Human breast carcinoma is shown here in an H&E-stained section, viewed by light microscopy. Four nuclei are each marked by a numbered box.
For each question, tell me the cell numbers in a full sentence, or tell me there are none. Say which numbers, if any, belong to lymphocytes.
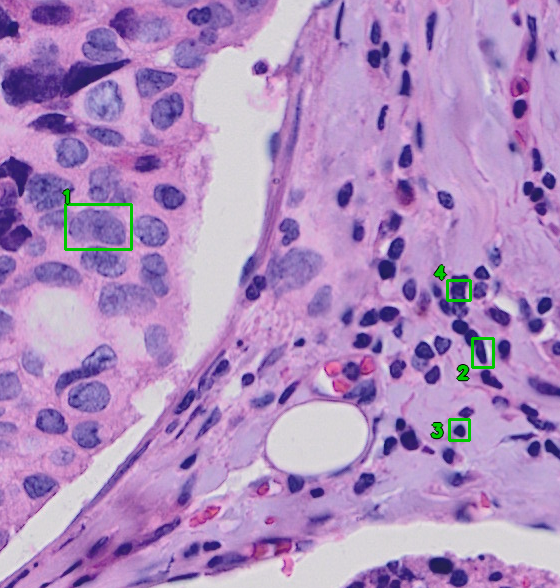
Cells 2, 3 and 4 are lymphocytes by cell type.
